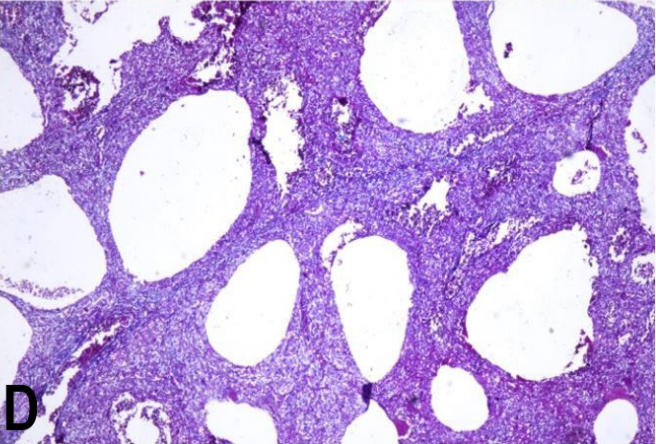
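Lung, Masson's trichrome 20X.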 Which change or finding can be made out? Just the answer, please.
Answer: honeycomb appearance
